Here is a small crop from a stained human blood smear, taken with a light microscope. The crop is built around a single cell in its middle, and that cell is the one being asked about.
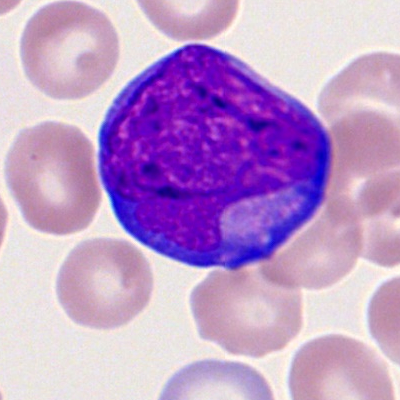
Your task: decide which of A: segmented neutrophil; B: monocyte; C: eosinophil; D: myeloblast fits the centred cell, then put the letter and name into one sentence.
Option D is correct, and the cell in the centre is a myeloblast.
